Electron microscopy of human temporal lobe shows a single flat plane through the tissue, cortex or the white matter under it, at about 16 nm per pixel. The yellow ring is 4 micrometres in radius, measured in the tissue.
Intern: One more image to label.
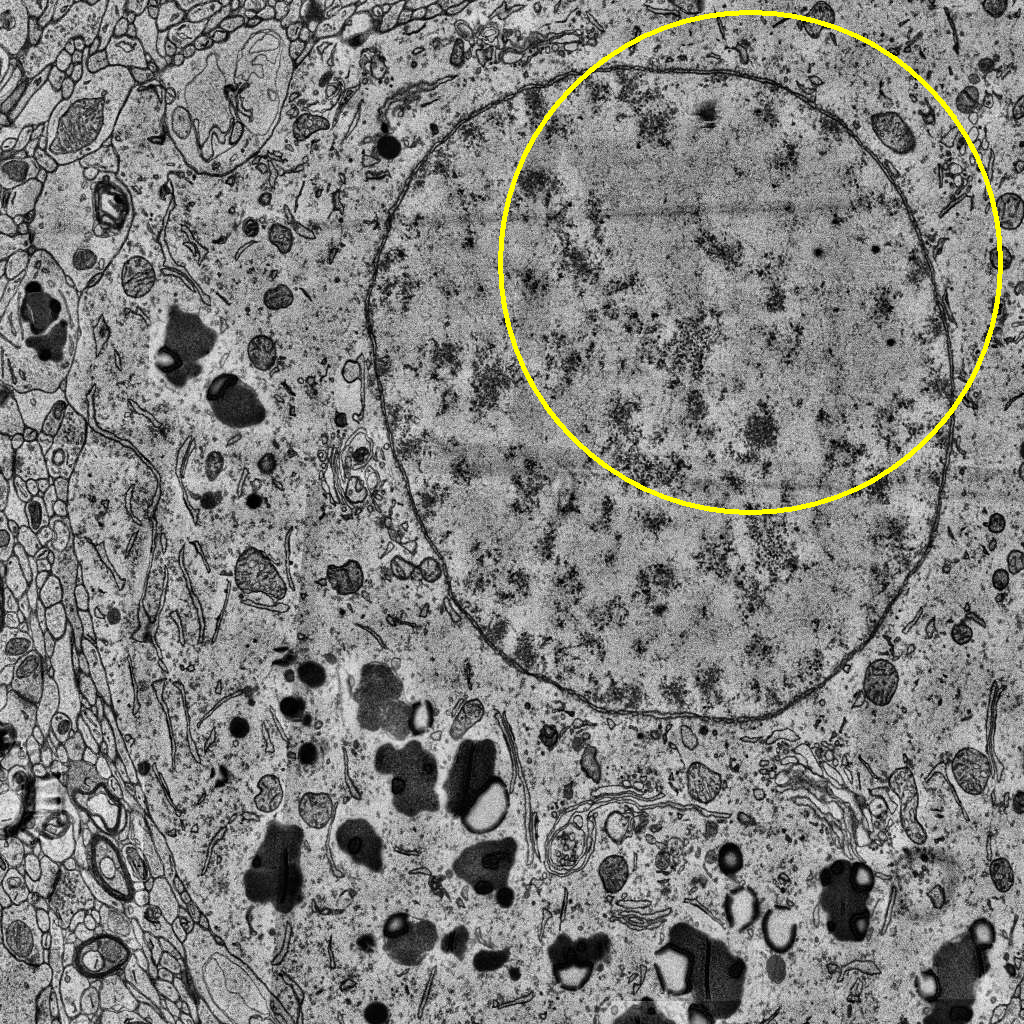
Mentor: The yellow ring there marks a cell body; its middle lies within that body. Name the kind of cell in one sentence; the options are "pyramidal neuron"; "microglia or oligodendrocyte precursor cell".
The ring marks the cell body of a pyramidal neuron.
